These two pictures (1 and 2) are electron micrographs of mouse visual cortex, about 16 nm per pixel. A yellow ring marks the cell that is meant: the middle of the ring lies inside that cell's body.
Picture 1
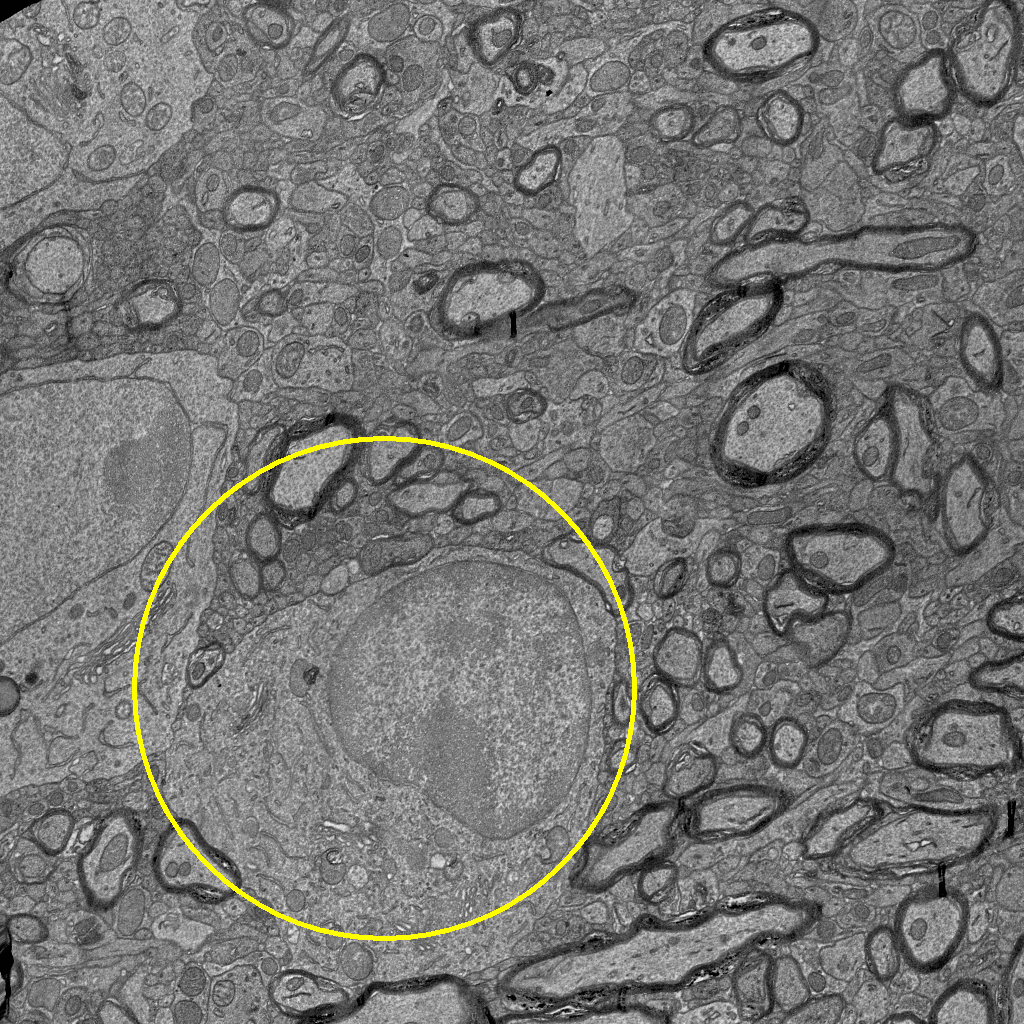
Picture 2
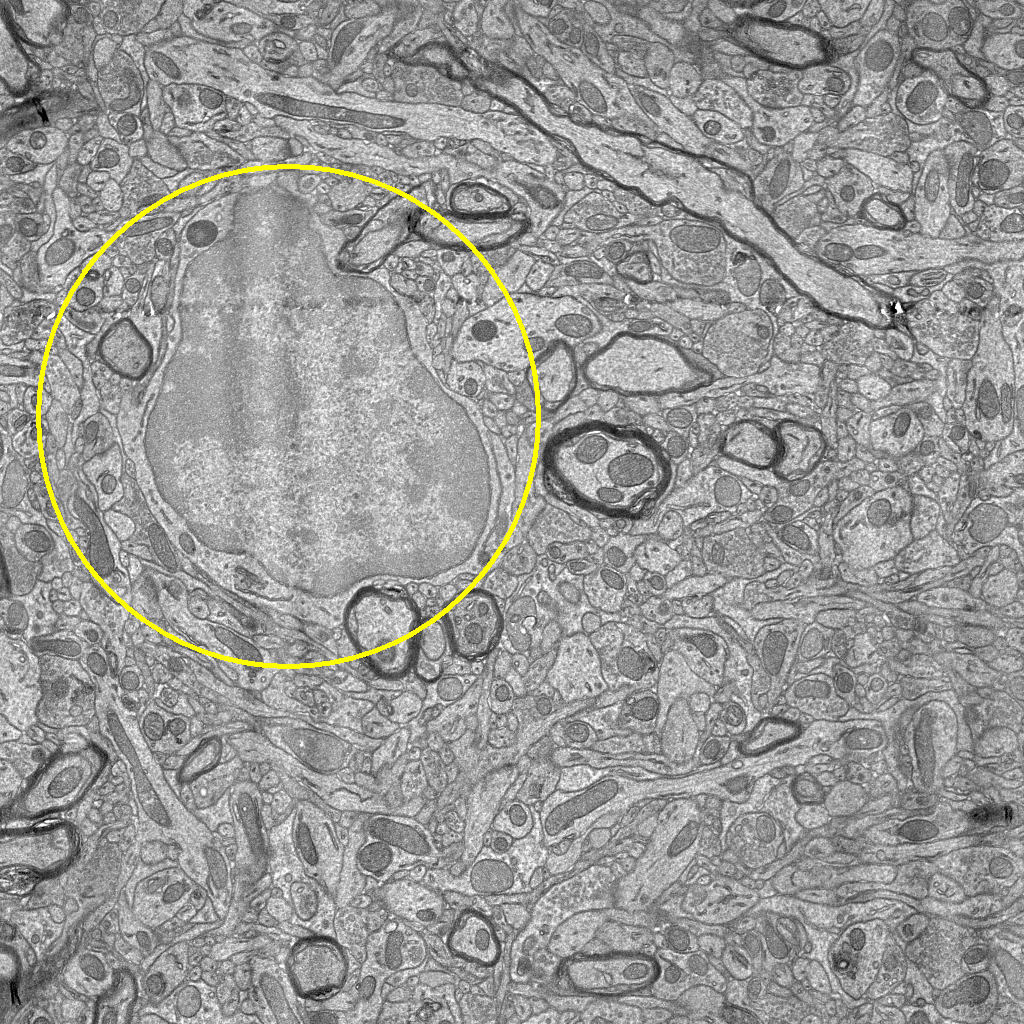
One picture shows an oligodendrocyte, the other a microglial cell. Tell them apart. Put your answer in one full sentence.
Picture 1 shows an oligodendrocyte and picture 2 shows a microglial cell.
